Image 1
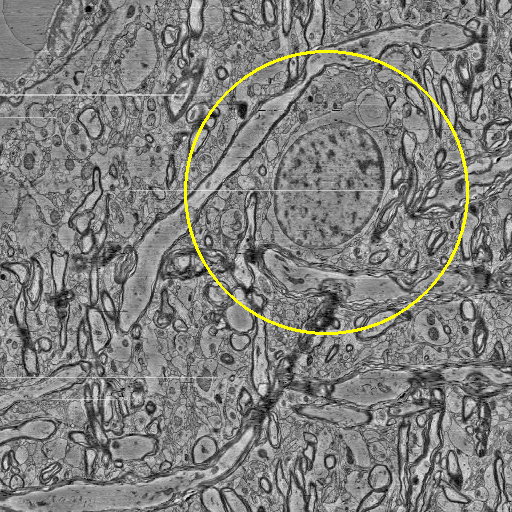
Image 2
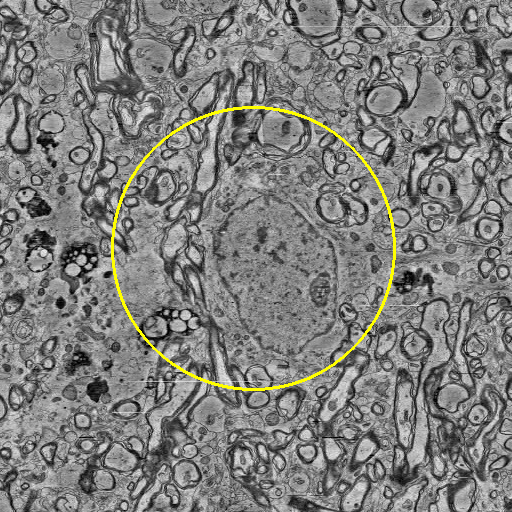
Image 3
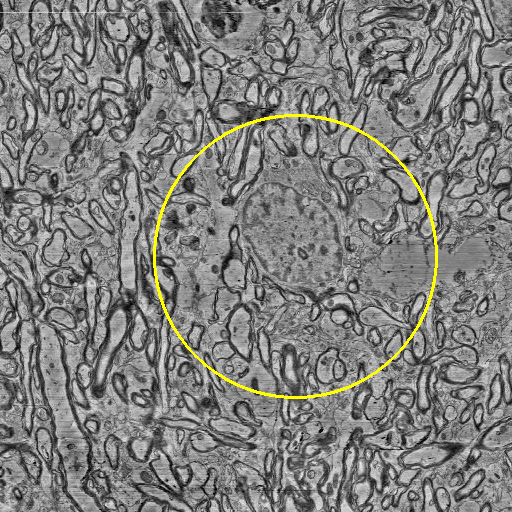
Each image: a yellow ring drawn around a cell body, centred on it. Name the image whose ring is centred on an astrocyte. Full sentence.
That is Image 2.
